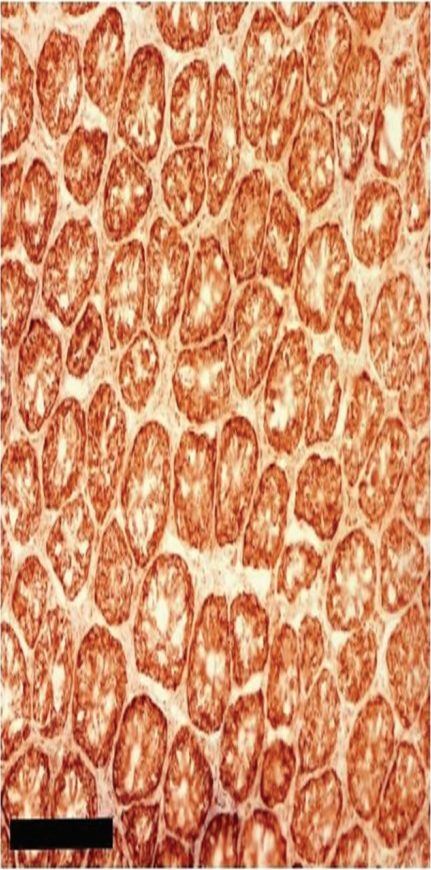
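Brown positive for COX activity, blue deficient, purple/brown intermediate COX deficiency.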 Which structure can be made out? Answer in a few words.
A: Crypts.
